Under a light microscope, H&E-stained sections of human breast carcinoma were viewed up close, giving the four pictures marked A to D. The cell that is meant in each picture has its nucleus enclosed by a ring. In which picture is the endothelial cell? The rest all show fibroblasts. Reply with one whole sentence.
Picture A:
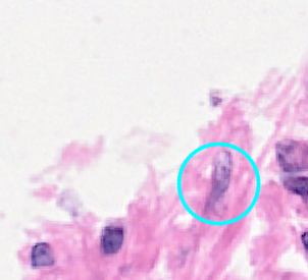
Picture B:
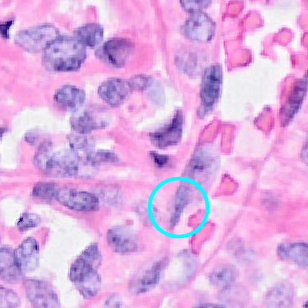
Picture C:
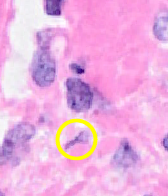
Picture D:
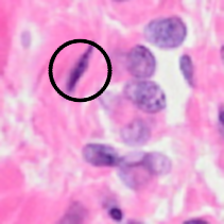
The endothelial cell is the one in picture B.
